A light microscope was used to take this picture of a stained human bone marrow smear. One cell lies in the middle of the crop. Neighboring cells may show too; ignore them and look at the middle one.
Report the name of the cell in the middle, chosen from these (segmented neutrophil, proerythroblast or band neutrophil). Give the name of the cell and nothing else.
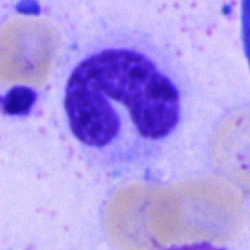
band neutrophil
